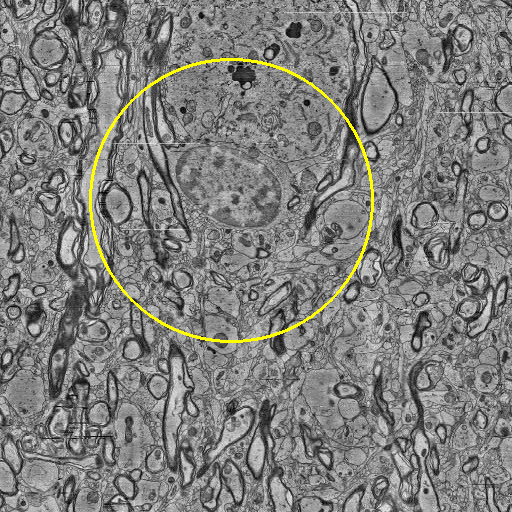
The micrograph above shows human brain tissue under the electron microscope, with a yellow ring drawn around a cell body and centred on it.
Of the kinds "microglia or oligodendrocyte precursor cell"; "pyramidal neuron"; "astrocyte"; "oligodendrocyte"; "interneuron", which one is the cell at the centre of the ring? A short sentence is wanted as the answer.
The one at the centre of the ring is an oligodendrocyte.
